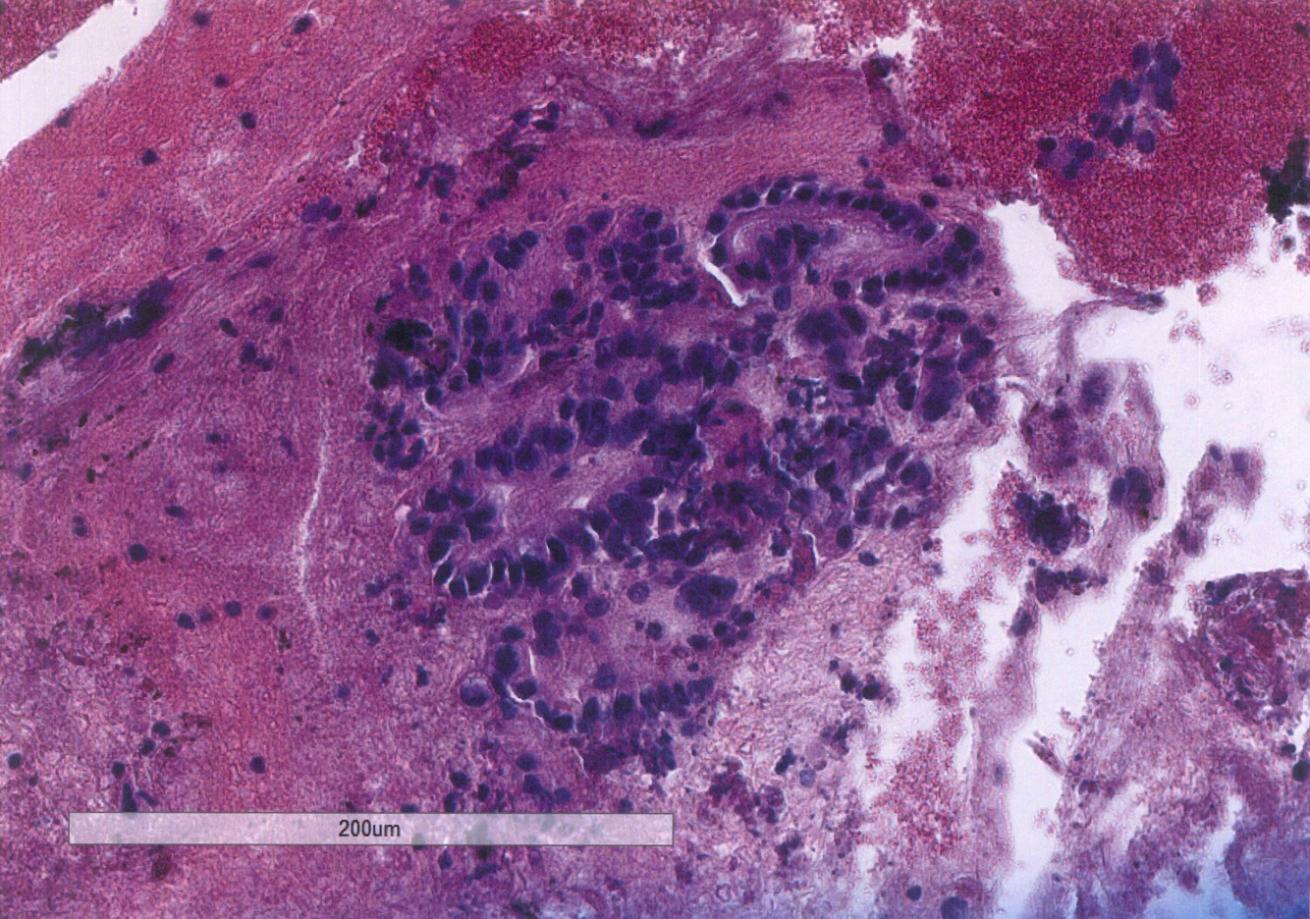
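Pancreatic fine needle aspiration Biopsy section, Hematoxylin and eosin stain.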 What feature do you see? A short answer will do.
Clusters of malignant cells forming acini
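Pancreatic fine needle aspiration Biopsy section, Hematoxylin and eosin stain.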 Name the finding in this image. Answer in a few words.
Nuclei of different sizes and shapes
